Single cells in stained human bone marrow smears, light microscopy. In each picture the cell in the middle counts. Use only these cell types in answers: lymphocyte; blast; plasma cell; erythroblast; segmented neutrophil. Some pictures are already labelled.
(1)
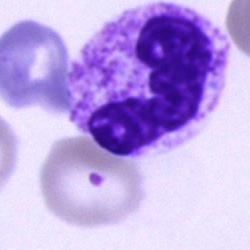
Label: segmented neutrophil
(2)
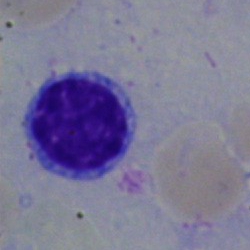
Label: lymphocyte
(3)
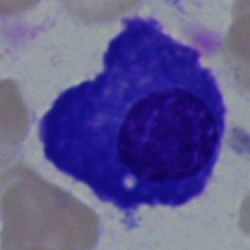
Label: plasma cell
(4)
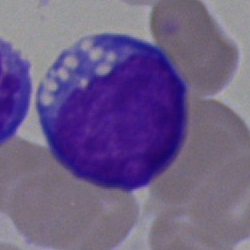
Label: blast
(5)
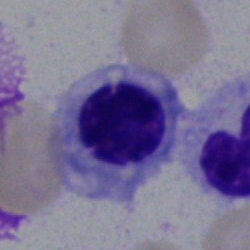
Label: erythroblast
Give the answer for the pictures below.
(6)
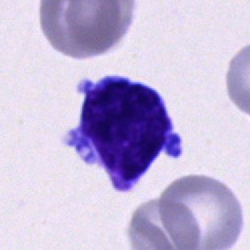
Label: blast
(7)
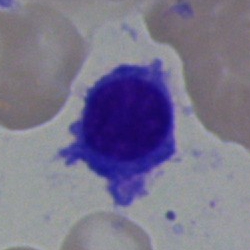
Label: plasma cell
